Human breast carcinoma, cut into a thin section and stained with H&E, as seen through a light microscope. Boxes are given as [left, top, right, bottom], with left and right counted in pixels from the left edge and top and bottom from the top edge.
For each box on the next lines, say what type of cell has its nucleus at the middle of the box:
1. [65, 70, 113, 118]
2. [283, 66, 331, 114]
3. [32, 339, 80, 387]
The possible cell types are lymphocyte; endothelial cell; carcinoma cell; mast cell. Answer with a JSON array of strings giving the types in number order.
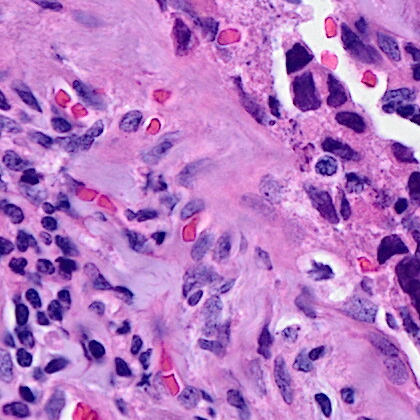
["endothelial cell", "carcinoma cell", "lymphocyte"]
